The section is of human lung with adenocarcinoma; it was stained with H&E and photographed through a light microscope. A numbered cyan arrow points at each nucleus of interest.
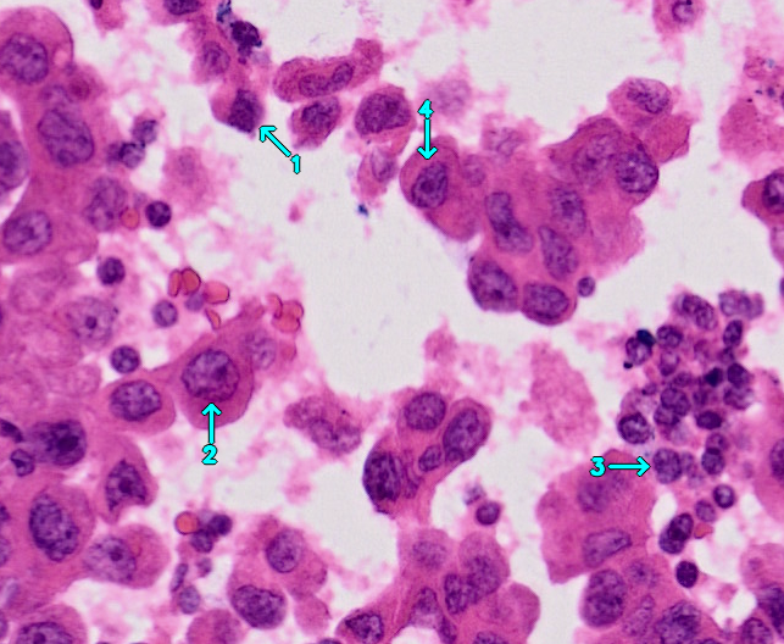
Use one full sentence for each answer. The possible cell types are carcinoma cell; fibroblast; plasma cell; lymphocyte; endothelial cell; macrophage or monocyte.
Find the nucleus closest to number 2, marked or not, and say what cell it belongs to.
The nearest nucleus to number 2 belongs to a carcinoma cell.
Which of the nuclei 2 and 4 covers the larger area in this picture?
Number 2 is larger; its area is about 2 times that of number 4.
